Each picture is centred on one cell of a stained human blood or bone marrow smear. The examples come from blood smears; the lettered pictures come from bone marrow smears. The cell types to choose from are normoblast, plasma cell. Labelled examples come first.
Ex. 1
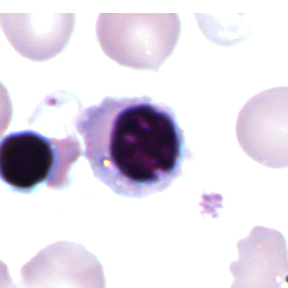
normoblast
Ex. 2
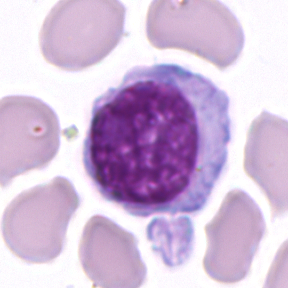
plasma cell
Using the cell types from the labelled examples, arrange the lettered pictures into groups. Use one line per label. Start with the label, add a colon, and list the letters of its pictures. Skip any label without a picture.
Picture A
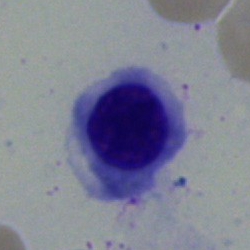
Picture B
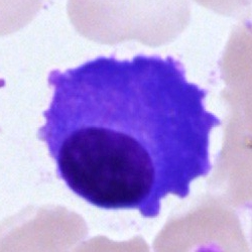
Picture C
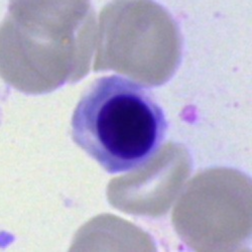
normoblast: A, C
plasma cell: B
